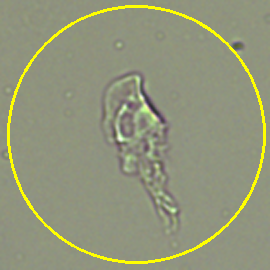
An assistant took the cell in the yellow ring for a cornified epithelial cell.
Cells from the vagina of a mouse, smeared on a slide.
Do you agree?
I agree, it is a cornified epithelial cell.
